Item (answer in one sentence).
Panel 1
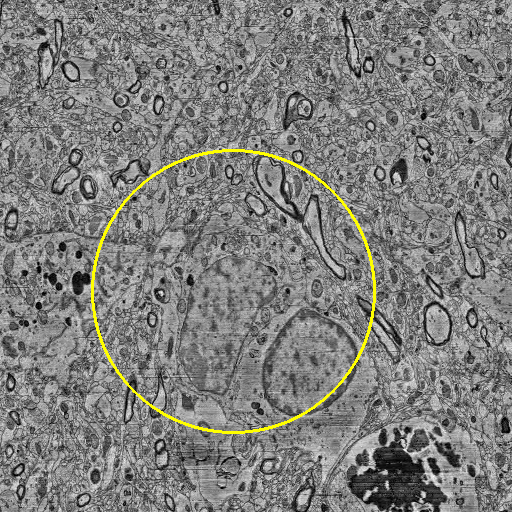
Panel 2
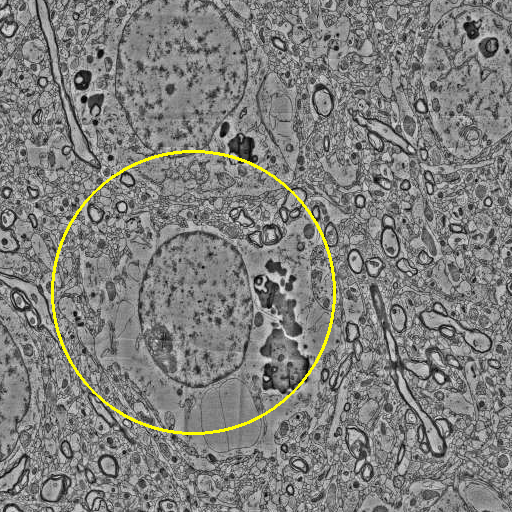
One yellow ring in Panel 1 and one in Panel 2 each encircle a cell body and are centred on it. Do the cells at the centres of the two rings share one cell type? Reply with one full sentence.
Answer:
No, Panel 1 and Panel 2 show cells of two types at the centres of their rings.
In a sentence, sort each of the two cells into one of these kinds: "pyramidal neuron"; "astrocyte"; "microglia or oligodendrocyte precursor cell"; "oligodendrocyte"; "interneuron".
The first of the two cells is an interneuron, and the second is an astrocyte.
